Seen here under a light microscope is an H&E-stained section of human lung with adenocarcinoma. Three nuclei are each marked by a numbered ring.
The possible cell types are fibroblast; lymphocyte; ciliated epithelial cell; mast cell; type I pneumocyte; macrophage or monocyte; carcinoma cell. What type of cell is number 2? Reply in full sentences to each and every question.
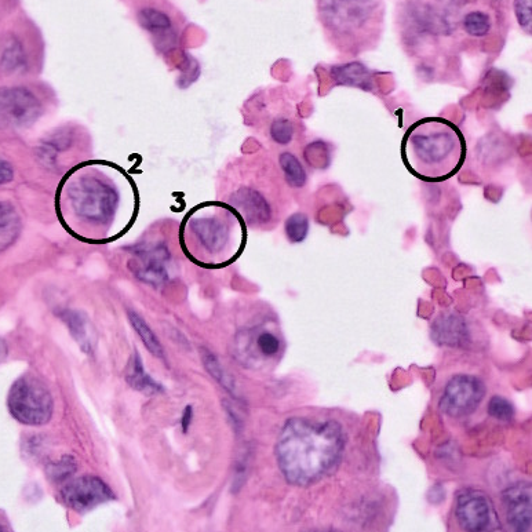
The cell numbered 2 has been identified as a carcinoma cell.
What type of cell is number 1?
The numbered cell 1 in this field is a macrophage or monocyte.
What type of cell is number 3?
Identified as a macrophage or monocyte is the cell bearing the number 3.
